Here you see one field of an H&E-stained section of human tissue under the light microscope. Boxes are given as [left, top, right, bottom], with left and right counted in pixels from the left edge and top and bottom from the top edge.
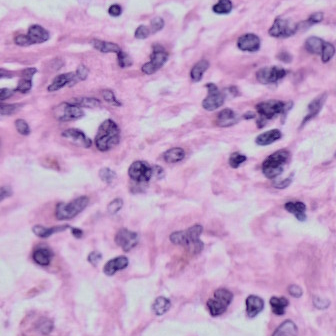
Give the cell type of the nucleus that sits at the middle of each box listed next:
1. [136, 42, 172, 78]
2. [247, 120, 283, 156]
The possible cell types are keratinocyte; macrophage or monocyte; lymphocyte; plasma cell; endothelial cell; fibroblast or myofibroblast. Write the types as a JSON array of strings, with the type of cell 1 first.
["macrophage or monocyte", "lymphocyte"]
